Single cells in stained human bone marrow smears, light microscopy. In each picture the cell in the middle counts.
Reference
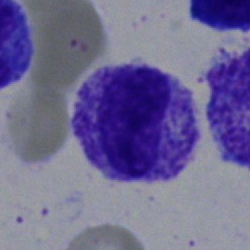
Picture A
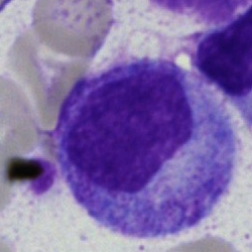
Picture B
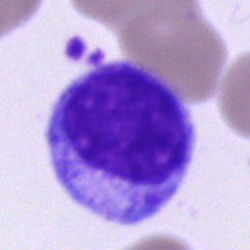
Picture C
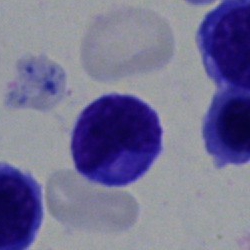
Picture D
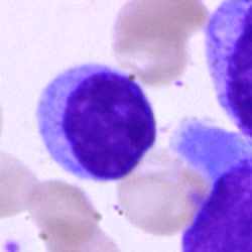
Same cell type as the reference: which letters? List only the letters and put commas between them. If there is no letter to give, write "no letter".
A, B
